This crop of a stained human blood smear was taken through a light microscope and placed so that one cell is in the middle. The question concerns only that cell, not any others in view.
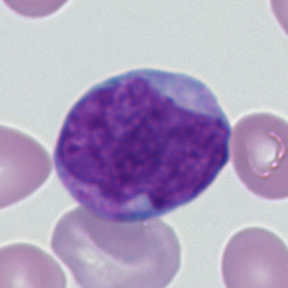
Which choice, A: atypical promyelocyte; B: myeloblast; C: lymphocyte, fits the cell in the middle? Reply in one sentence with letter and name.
The cell in the middle is an atypical promyelocyte, and so option A is correct.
